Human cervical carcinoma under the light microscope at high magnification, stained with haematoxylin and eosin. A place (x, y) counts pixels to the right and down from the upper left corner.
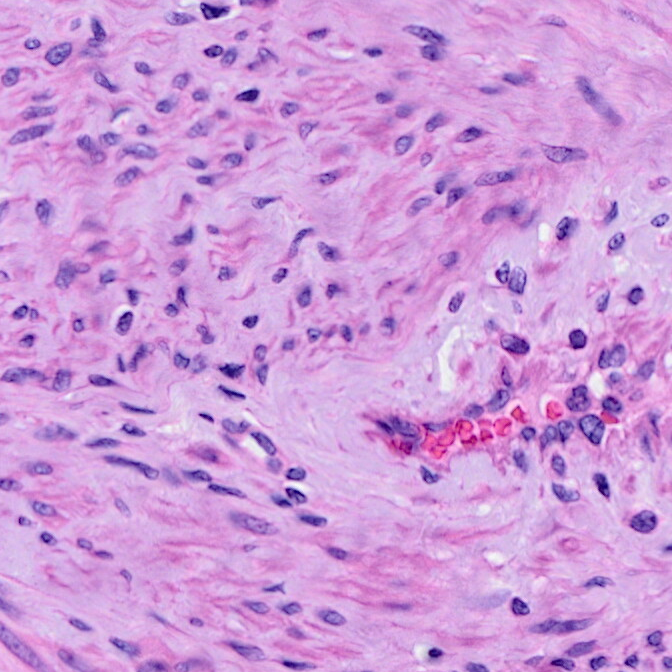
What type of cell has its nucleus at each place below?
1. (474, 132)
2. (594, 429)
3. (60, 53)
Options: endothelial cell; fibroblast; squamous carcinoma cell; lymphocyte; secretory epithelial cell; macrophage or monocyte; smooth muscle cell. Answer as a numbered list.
1. smooth muscle cell
2. endothelial cell
3. smooth muscle cell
